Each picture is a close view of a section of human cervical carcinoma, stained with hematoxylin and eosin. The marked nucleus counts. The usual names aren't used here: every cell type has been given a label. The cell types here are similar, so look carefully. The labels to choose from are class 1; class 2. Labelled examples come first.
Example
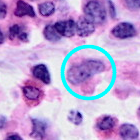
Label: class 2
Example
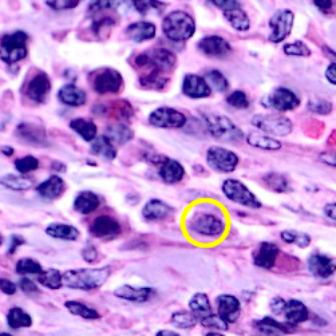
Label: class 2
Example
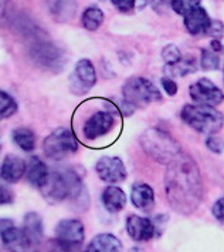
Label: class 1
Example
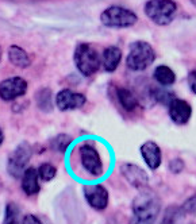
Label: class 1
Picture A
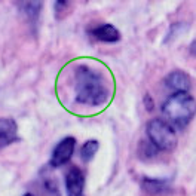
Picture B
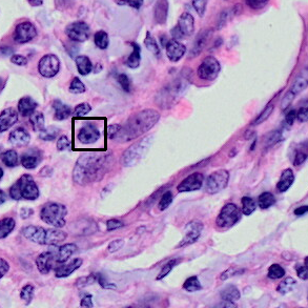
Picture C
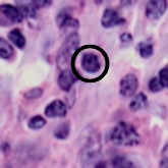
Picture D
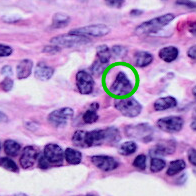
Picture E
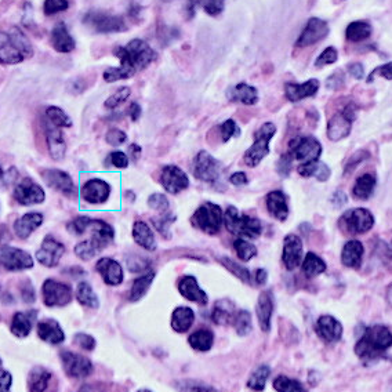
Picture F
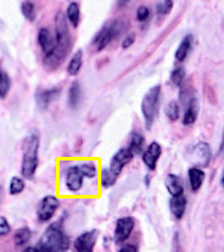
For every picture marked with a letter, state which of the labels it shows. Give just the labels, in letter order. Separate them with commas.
class 2, class 1, class 1, class 1, class 1, class 1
